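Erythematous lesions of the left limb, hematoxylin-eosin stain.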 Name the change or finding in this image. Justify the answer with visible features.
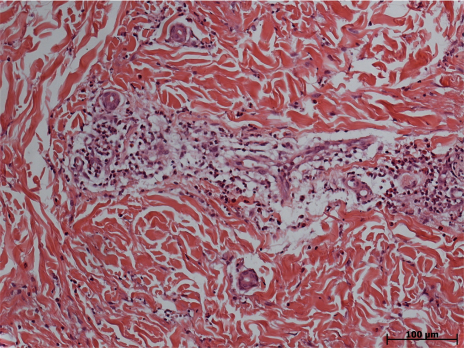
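Perivascular and interstitial inflammatory mixed infiltrates. A dense band of small dark-nucleated cells runs across the middle of the dermis around small vessels. Single small cells lie scattered between the pink collagen bundles.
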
